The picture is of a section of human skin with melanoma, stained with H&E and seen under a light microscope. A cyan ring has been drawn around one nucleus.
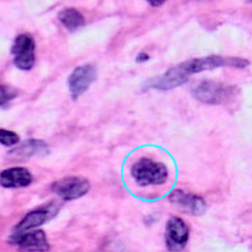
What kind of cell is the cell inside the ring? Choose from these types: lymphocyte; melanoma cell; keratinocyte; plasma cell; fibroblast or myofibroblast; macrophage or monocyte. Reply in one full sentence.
As for its identity, the cell inside the ring is a lymphocyte.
